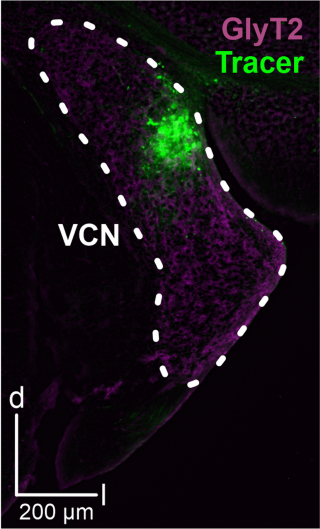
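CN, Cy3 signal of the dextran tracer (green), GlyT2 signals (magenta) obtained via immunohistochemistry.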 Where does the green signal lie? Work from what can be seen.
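Injection site. A dense, bright green patch lies in the upper part of the outlined nucleus. Outside this patch the green signal is sparse.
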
